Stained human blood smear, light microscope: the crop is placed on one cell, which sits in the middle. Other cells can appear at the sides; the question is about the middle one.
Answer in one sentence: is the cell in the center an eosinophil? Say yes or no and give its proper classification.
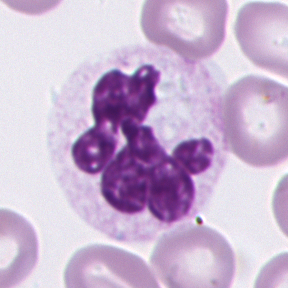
No, the cell in the middle of the crop counts as a neutrophil and not as an eosinophil.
